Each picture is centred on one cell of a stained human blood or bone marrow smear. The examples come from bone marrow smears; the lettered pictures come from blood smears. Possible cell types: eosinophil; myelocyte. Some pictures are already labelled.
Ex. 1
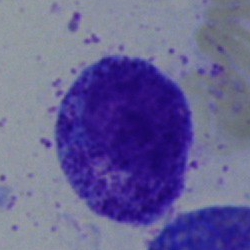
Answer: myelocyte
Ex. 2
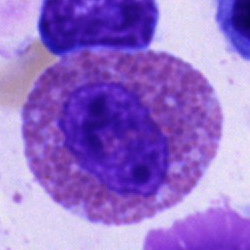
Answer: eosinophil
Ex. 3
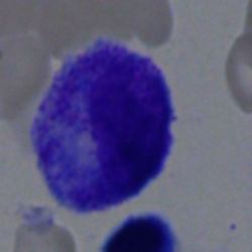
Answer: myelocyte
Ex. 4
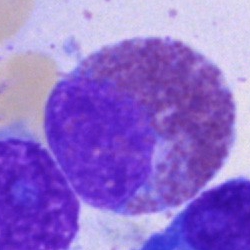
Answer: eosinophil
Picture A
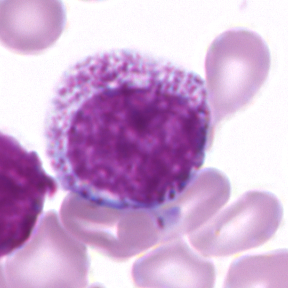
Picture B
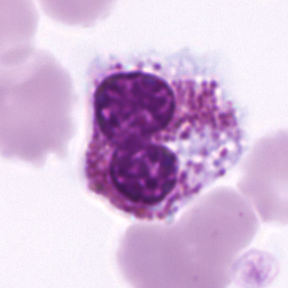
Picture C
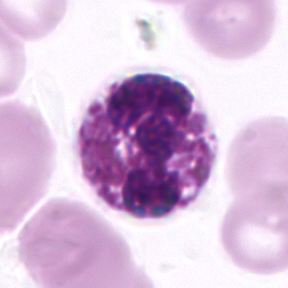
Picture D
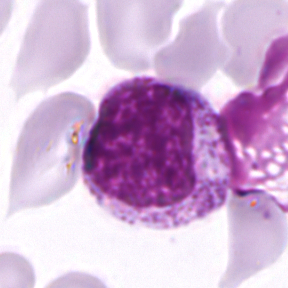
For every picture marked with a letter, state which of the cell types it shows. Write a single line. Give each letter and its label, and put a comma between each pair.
A myelocyte, B eosinophil, C eosinophil, D myelocyte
